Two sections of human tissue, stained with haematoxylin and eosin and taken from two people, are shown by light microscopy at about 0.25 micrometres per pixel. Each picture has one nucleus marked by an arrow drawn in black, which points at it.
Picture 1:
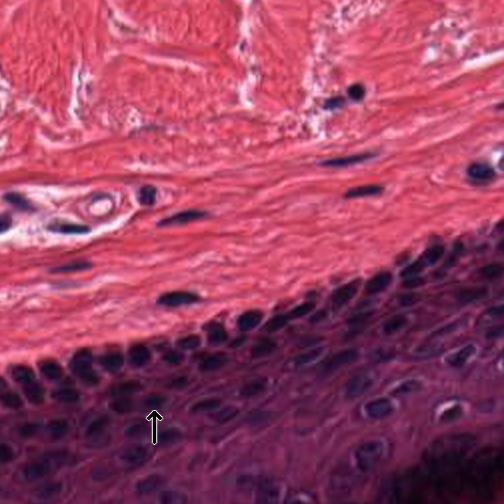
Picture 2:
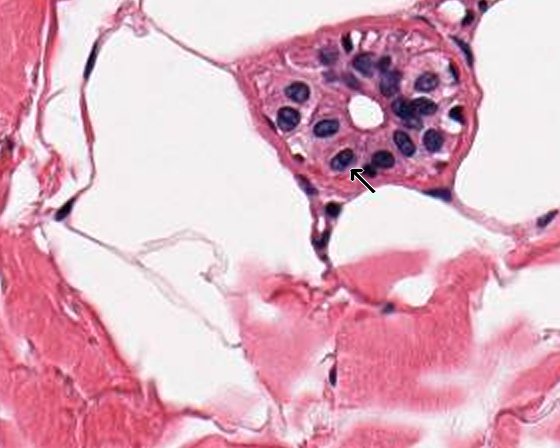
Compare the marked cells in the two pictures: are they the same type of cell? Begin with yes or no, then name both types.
No, the first is a keratinocyte and the second a sweat gland cell.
